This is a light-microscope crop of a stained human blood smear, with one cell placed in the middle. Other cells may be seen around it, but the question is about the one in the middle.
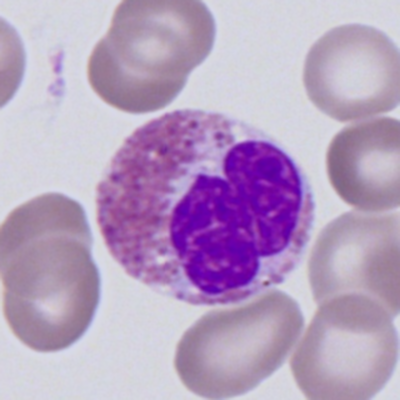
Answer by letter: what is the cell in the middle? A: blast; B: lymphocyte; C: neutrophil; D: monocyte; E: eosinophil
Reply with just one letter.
E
